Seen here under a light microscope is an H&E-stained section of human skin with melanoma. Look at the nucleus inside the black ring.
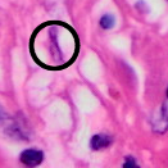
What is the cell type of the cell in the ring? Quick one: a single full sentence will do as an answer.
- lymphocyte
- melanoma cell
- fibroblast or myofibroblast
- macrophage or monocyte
For the purposes of cell typing, the cell in the ring is categorized as a fibroblast or myofibroblast.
